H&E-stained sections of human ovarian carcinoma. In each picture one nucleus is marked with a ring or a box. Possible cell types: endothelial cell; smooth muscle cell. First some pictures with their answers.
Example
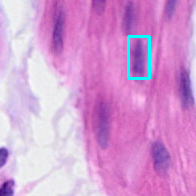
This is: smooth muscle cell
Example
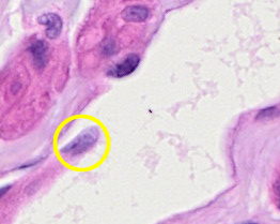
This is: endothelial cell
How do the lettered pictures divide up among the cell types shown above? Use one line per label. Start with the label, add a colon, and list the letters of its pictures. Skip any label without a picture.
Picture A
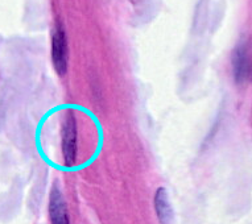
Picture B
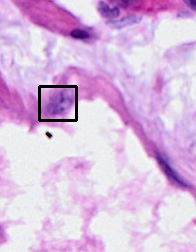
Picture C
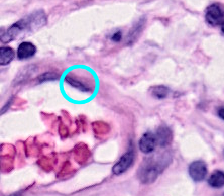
endothelial cell: B, C
smooth muscle cell: A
